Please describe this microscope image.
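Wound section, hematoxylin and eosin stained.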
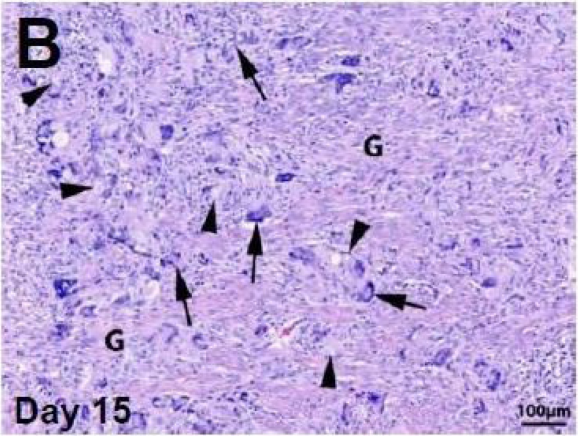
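This is granulation tissue in which many scattered large, dark purple multinucleated giant cells sit among smaller spindle-shaped cells. The background is a pale violet, loosely fibrillar tissue with numerous elongated nuclei of fibroblast-like cells. The giant cells are far larger than their neighbours, irregular in outline, and hold several clustered nuclei.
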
